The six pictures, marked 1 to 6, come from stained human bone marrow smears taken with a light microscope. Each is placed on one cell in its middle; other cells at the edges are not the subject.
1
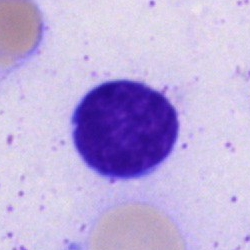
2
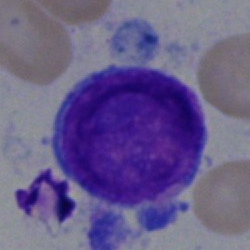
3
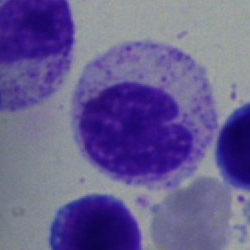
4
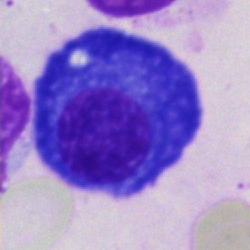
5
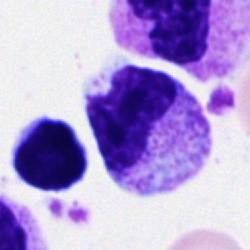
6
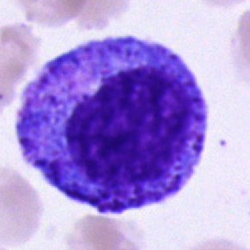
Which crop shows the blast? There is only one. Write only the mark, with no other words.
2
